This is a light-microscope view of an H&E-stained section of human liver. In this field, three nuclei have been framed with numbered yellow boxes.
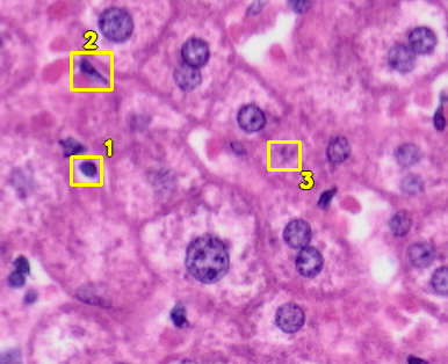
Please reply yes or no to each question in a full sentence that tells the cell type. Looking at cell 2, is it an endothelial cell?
Yes, the cell whose nucleus carries number 2 is an endothelial cell.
